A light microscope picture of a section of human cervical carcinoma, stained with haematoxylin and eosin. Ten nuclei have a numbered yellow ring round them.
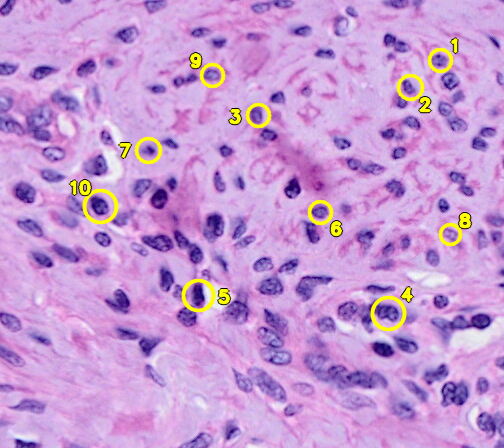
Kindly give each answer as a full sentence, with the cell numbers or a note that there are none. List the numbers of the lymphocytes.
The cells labelled 4, 5 and 10 in this section are lymphocytes.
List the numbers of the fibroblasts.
The sole numbered cell that is a fibroblast is cell 7.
